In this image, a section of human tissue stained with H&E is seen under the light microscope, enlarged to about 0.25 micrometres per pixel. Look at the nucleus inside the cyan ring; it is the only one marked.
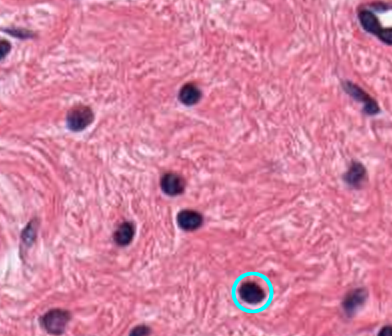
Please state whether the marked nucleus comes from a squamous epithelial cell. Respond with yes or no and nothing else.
no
